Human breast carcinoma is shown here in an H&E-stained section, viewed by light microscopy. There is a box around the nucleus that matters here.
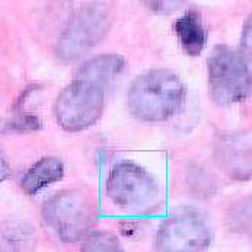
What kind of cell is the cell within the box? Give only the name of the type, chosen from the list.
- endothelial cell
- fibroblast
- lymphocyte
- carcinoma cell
carcinoma cell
